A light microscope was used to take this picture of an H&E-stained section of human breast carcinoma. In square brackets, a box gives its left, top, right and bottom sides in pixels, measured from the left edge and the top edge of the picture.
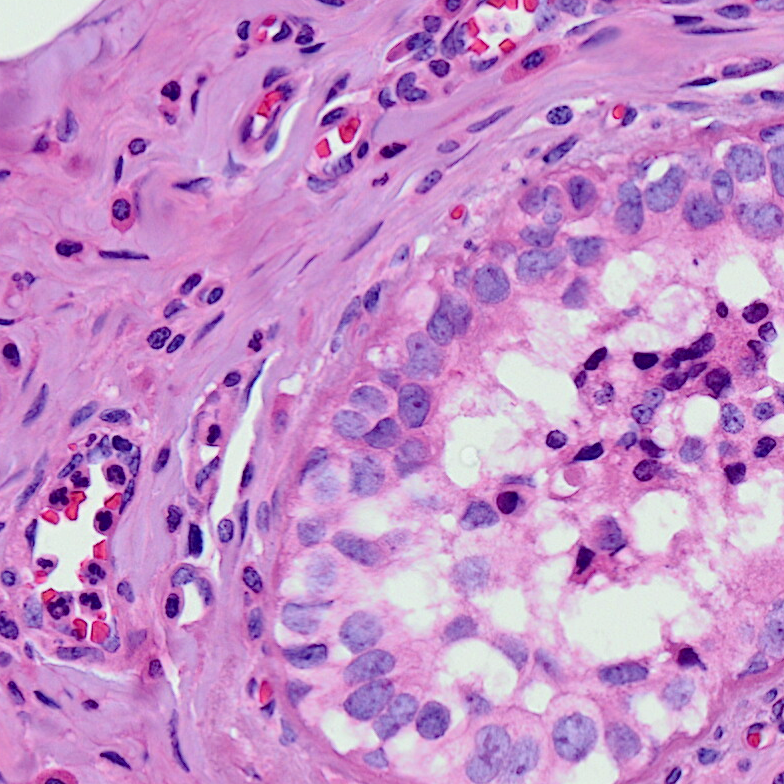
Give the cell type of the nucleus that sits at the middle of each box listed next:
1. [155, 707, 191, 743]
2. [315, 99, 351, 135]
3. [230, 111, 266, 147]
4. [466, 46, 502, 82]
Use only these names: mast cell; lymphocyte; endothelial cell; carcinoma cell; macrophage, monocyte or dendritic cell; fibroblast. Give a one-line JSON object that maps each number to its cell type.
{"1": "fibroblast", "2": "endothelial cell", "3": "endothelial cell", "4": "endothelial cell"}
